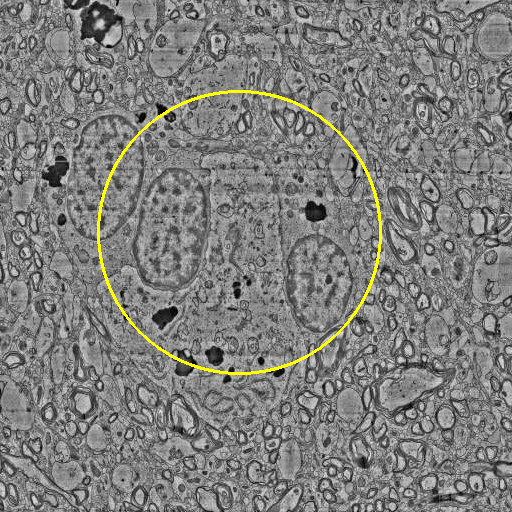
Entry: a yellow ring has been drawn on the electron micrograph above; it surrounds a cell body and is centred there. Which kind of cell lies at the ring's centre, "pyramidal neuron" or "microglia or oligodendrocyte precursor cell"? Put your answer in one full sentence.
The cell sitting at the ring's centre is a pyramidal neuron in the micrograph above.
